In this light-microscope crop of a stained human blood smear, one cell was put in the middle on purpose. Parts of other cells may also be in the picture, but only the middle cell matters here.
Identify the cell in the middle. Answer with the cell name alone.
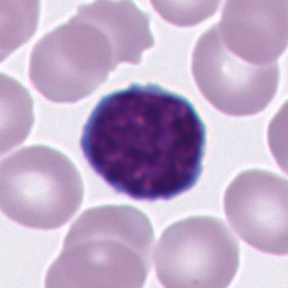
typical lymphocyte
